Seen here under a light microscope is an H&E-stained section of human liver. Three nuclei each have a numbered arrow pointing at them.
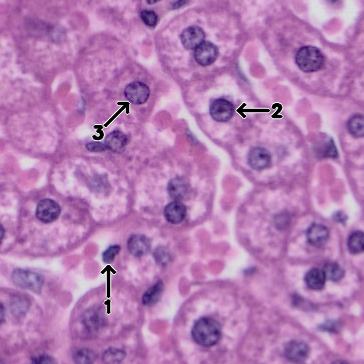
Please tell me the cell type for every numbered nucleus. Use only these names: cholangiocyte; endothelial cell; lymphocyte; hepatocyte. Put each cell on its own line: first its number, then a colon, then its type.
1: lymphocyte
2: hepatocyte
3: hepatocyte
